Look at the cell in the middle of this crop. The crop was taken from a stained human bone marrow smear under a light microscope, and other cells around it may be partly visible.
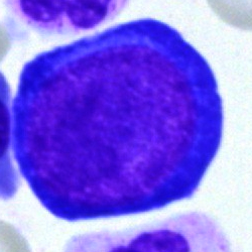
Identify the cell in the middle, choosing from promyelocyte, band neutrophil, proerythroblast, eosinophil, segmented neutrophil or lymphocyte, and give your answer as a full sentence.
The cell around which this crop is centred is a proerythroblast.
